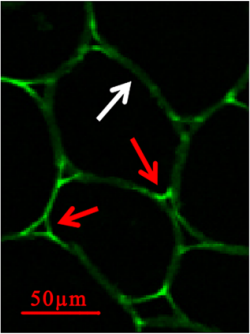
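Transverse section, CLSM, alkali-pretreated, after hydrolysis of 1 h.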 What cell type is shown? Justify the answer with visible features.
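Large, thin-walled, rounded polygonal cells. Walls outlined as thin green lines with empty lumens.
Hence: parenchyma.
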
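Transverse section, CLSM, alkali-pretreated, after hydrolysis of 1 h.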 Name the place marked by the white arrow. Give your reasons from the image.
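Middle. The white arrow points to a stretch of wall away from the junctions. The green line there is thinner and dimmer.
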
